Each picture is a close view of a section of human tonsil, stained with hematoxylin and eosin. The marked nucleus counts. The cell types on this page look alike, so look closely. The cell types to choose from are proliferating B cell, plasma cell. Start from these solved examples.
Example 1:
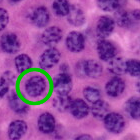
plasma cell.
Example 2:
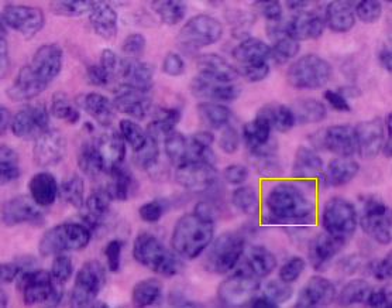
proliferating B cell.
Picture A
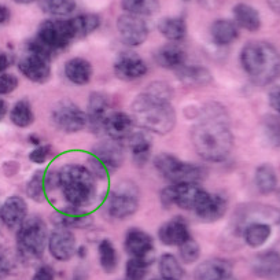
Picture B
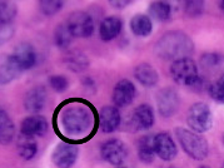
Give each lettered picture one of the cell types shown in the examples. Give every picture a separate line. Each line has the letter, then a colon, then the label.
A: proliferating B cell.
B: plasma cell.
